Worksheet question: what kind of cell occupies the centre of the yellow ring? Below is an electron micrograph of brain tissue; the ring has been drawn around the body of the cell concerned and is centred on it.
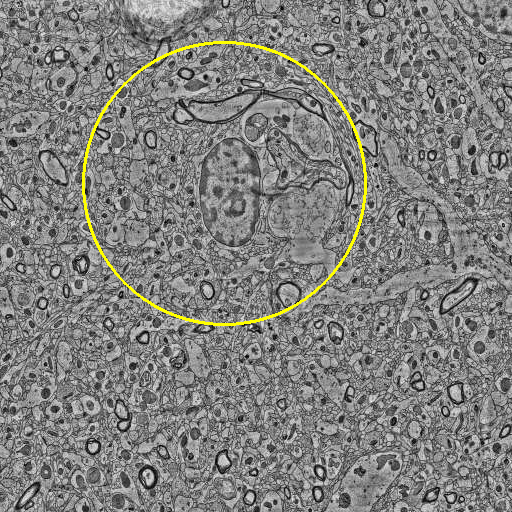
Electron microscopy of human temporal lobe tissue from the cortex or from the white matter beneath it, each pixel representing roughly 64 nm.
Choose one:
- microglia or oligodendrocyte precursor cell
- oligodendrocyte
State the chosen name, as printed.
microglia or oligodendrocyte precursor cell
